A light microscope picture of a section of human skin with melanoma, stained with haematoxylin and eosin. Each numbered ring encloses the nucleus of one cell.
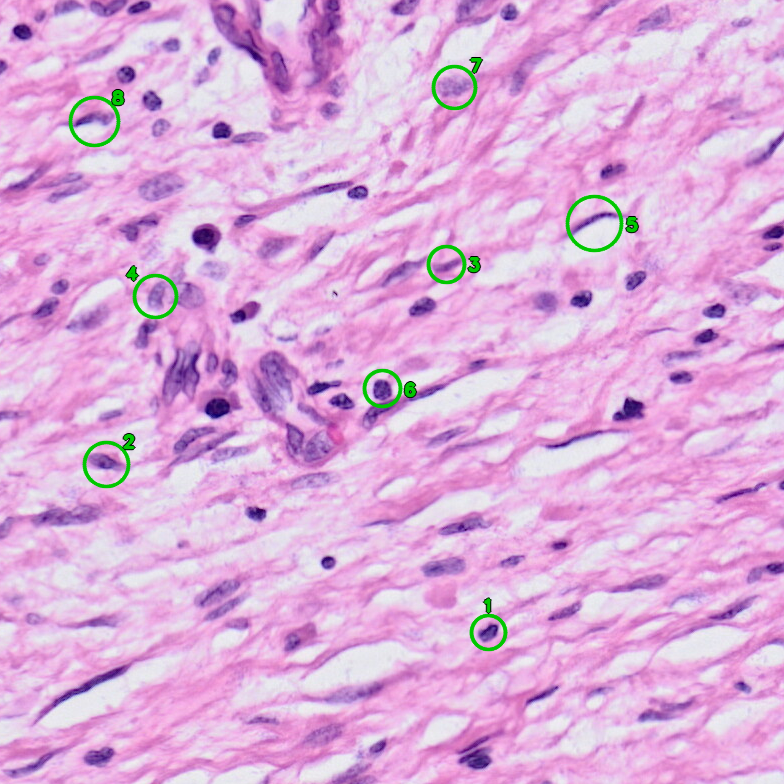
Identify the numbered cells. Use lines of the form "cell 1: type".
cell 1: lymphocyte
cell 2: macrophage or monocyte
cell 3: fibroblast or myofibroblast
cell 4: macrophage or monocyte
cell 5: fibroblast or myofibroblast
cell 6: lymphocyte
cell 7: fibroblast or myofibroblast
cell 8: fibroblast or myofibroblast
